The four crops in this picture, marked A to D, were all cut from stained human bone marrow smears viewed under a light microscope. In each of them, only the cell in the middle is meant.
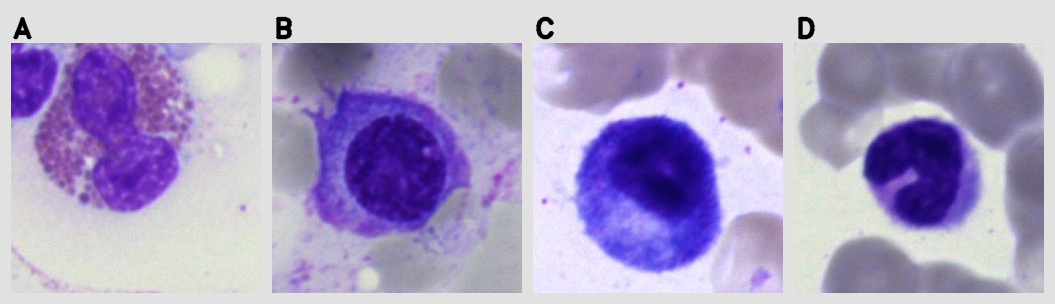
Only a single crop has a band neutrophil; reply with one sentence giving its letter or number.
Crop D is the crop that shows a band neutrophil in its middle.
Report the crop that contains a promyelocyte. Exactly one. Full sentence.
The one showing a promyelocyte is crop C.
